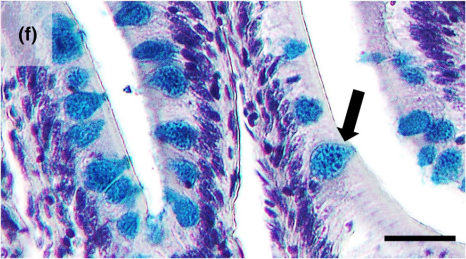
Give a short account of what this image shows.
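Intestinal folds lined by columnar epithelium with elongated purple nuclei, among which lie numerous rounded to flask-shaped mucus cells filled with blue-stained content. The blue content of these cells appears granular, and the cells sit toward the luminal side of the epithelium.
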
